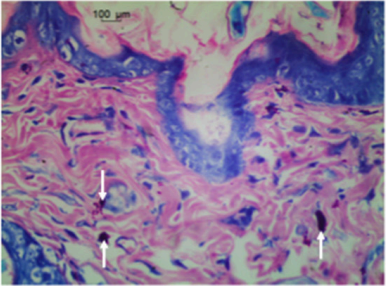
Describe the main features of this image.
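This is a section of skin with a few mast cells in the dermis. A blue-stained surface epithelium runs across the top and dips down into a fold, probably a follicle opening. Below lies the dermis, a meshwork of pink wavy connective tissue fibres with scattered small blue nuclei.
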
